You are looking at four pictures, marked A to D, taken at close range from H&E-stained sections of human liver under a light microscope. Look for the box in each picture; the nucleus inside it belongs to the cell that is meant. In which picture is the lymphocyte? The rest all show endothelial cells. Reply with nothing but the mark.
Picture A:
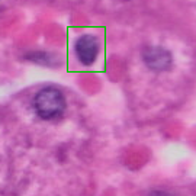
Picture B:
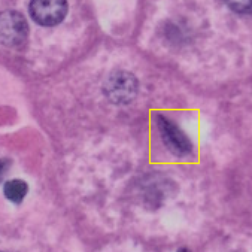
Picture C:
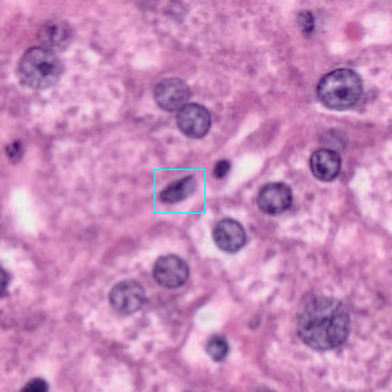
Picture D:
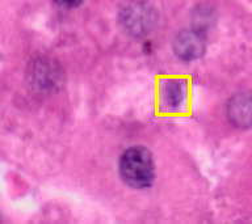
A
